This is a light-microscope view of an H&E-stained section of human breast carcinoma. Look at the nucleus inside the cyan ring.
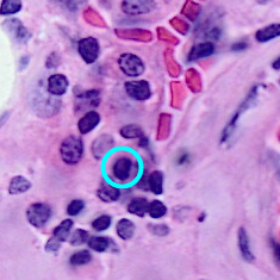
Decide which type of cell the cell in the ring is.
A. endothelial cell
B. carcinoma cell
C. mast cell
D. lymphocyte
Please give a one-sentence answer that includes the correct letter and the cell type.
Option D correctly labels the cell in the ring as a lymphocyte.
